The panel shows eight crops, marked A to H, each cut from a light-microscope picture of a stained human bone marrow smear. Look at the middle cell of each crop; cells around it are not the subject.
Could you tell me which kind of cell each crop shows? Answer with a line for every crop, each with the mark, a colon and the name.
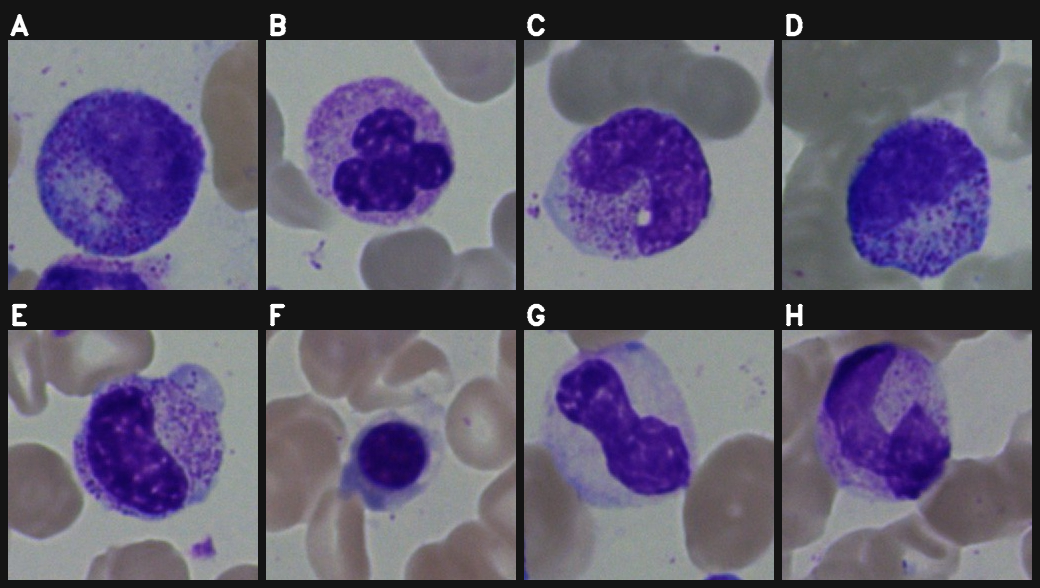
A: myelocyte
B: segmented neutrophil
C: band neutrophil
D: myelocyte
E: metamyelocyte
F: erythroblast
G: band neutrophil
H: band neutrophil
